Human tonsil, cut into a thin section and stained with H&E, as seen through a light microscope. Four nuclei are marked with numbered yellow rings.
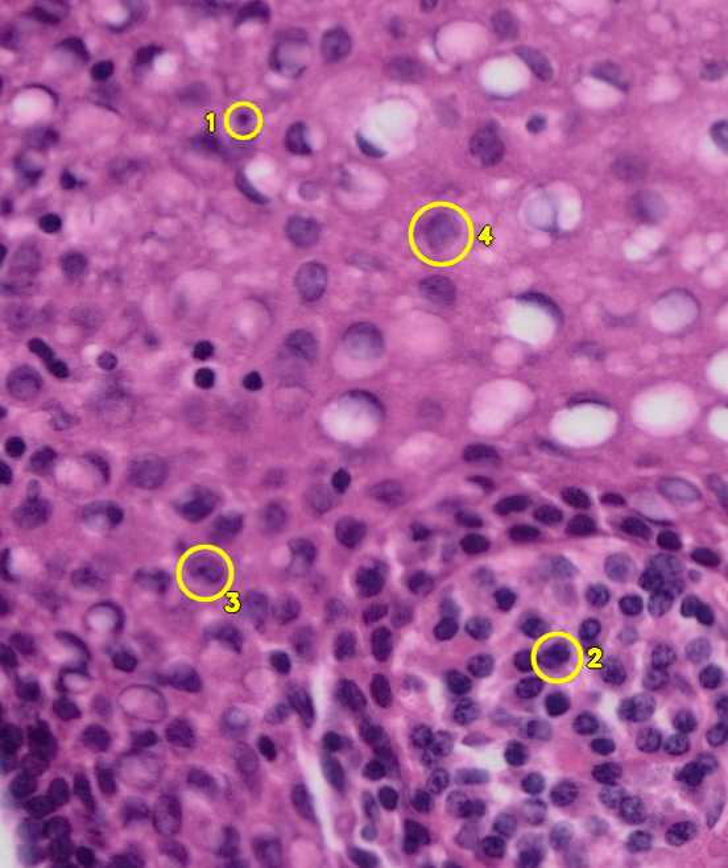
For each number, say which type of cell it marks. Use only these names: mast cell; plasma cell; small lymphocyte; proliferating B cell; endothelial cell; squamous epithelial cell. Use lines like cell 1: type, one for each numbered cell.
cell 1: squamous epithelial cell
cell 2: plasma cell
cell 3: squamous epithelial cell
cell 4: squamous epithelial cell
